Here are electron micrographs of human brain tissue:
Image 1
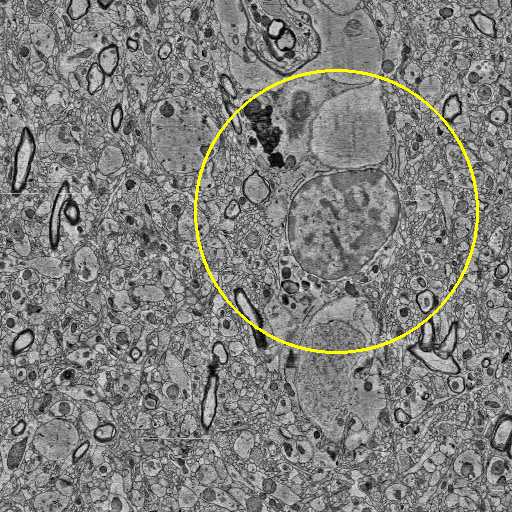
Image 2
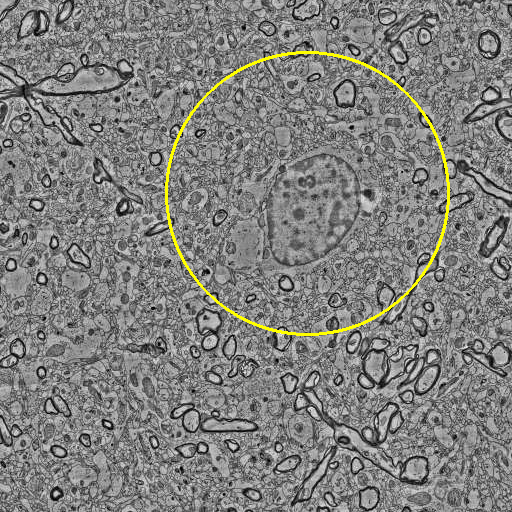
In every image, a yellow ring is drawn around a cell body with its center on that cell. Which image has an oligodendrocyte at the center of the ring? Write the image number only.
2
